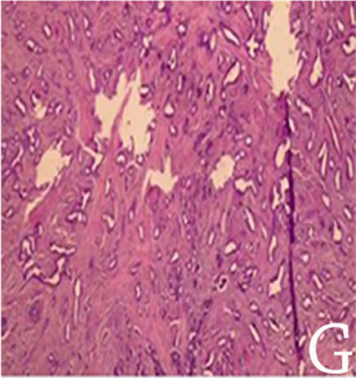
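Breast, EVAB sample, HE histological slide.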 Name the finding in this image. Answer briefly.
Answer: invasive tubular carcinoma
